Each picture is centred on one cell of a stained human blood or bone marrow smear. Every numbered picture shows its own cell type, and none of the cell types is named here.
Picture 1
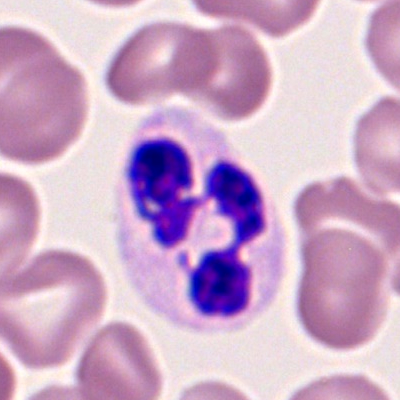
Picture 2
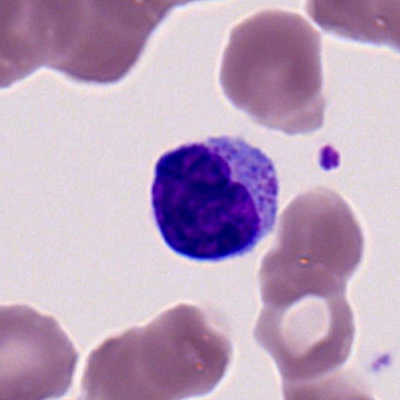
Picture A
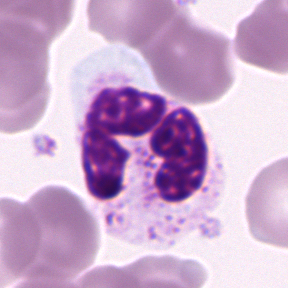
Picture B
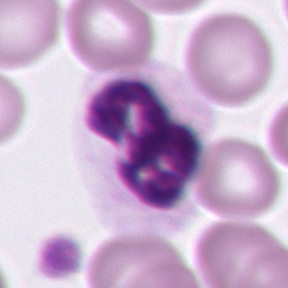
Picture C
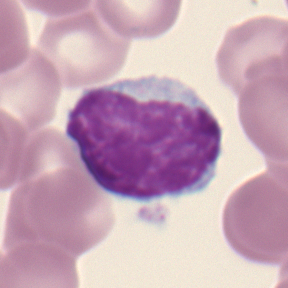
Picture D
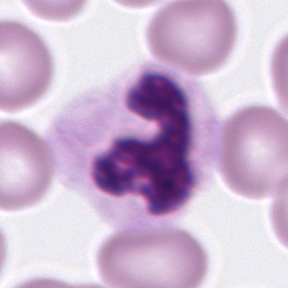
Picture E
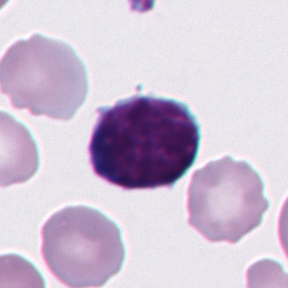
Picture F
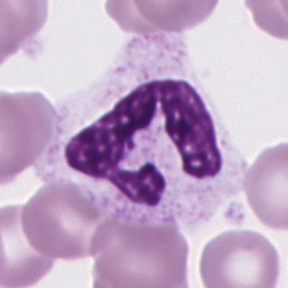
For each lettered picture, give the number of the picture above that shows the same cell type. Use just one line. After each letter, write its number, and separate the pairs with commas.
A 1, B 1, C 2, D 1, E 2, F 1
